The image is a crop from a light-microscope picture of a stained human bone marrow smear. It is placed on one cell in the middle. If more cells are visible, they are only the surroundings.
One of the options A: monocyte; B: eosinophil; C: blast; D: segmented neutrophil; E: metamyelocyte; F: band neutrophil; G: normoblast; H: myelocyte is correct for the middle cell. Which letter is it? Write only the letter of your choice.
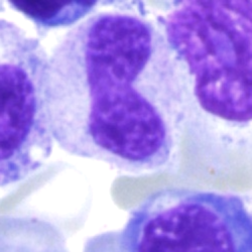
F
